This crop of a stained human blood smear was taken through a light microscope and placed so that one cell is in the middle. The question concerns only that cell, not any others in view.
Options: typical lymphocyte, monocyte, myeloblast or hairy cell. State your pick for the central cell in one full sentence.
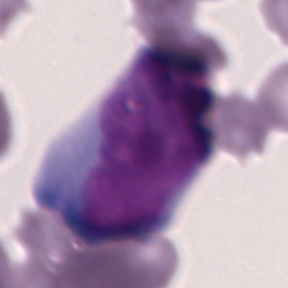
Within this crop, a myeloblast occupies the central position.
